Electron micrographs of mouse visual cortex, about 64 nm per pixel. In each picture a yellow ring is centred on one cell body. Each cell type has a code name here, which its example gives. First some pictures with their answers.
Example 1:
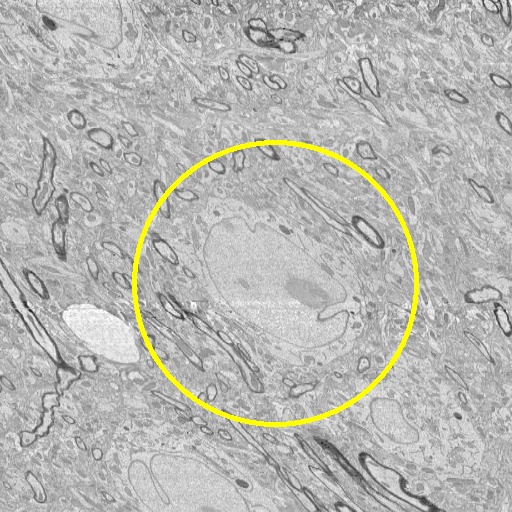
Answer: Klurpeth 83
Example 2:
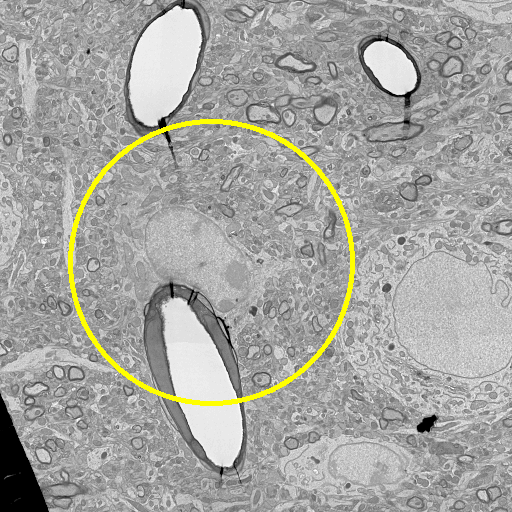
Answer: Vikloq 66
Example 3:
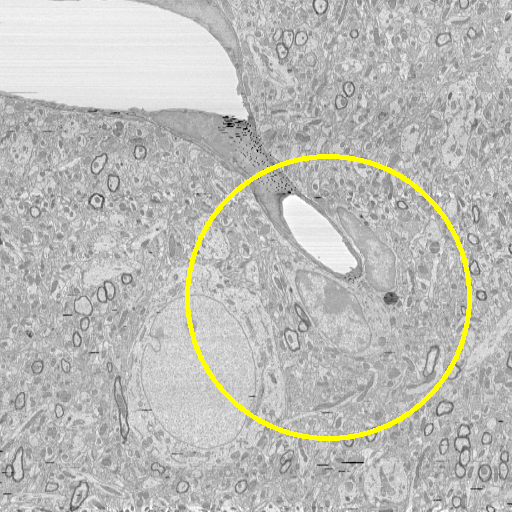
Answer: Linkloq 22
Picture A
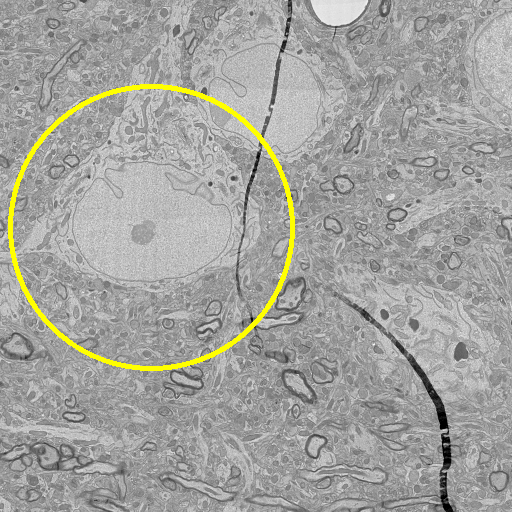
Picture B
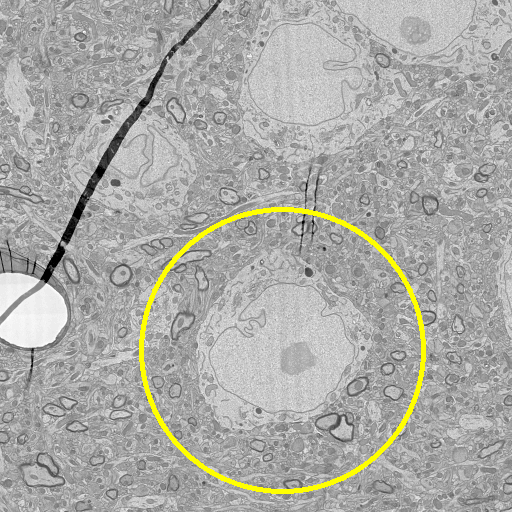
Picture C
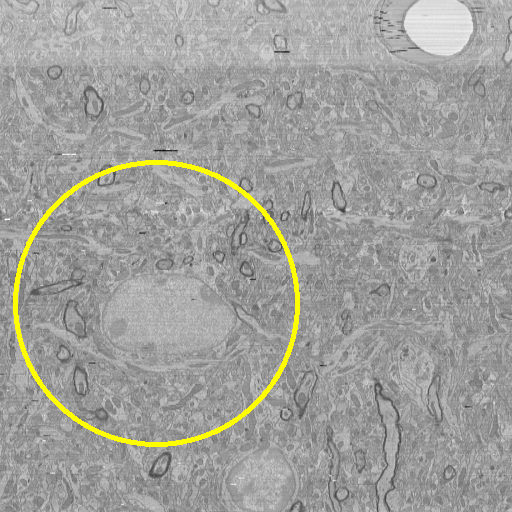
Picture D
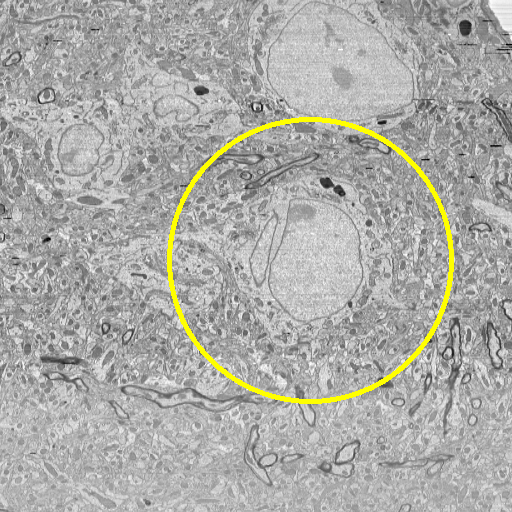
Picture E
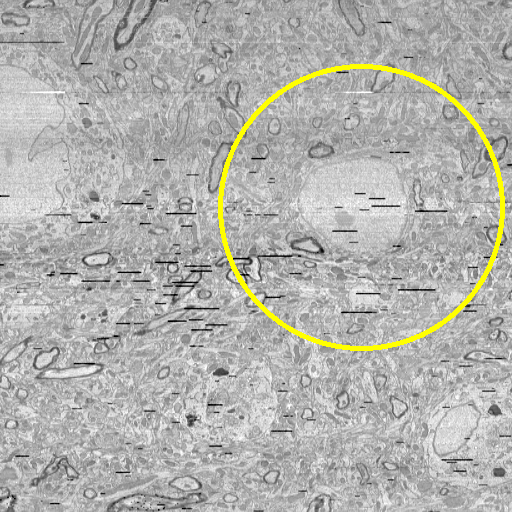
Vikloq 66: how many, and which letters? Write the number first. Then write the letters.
2, namely C, E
